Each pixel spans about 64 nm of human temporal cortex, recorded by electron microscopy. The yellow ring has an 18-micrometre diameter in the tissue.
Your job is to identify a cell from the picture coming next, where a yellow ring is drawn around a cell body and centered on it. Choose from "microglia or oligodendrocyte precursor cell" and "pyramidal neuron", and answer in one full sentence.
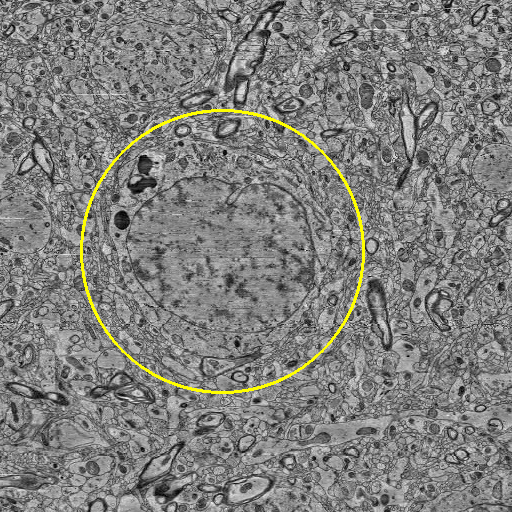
Centered in the yellow ring of the picture is the body of a pyramidal neuron.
